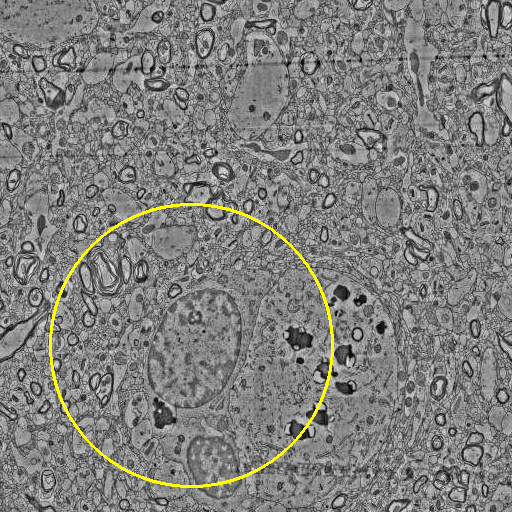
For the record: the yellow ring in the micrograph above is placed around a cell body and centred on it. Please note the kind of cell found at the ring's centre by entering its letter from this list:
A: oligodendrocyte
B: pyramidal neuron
A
